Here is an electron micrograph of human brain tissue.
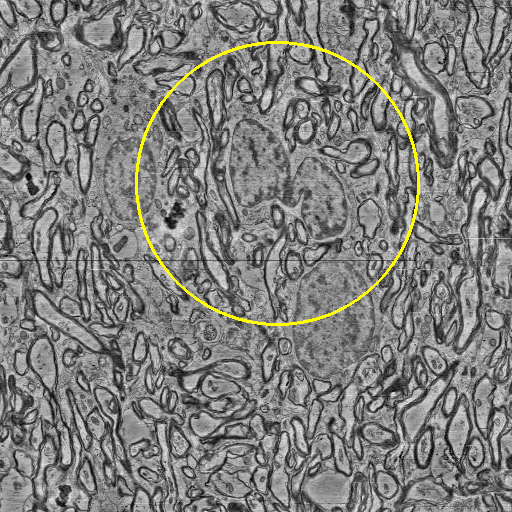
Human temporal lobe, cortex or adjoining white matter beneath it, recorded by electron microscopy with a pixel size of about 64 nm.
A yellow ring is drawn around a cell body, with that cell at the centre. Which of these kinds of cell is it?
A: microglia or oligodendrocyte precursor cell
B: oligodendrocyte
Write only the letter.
A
